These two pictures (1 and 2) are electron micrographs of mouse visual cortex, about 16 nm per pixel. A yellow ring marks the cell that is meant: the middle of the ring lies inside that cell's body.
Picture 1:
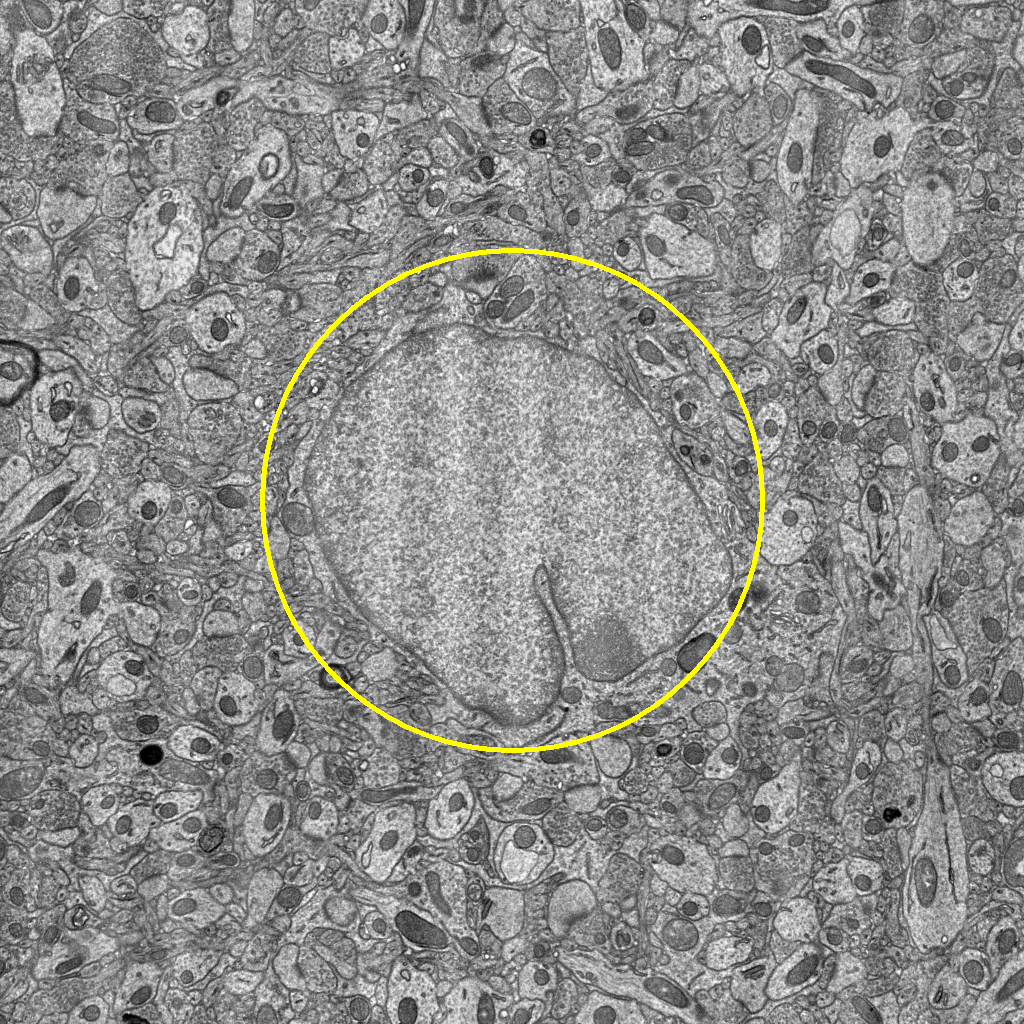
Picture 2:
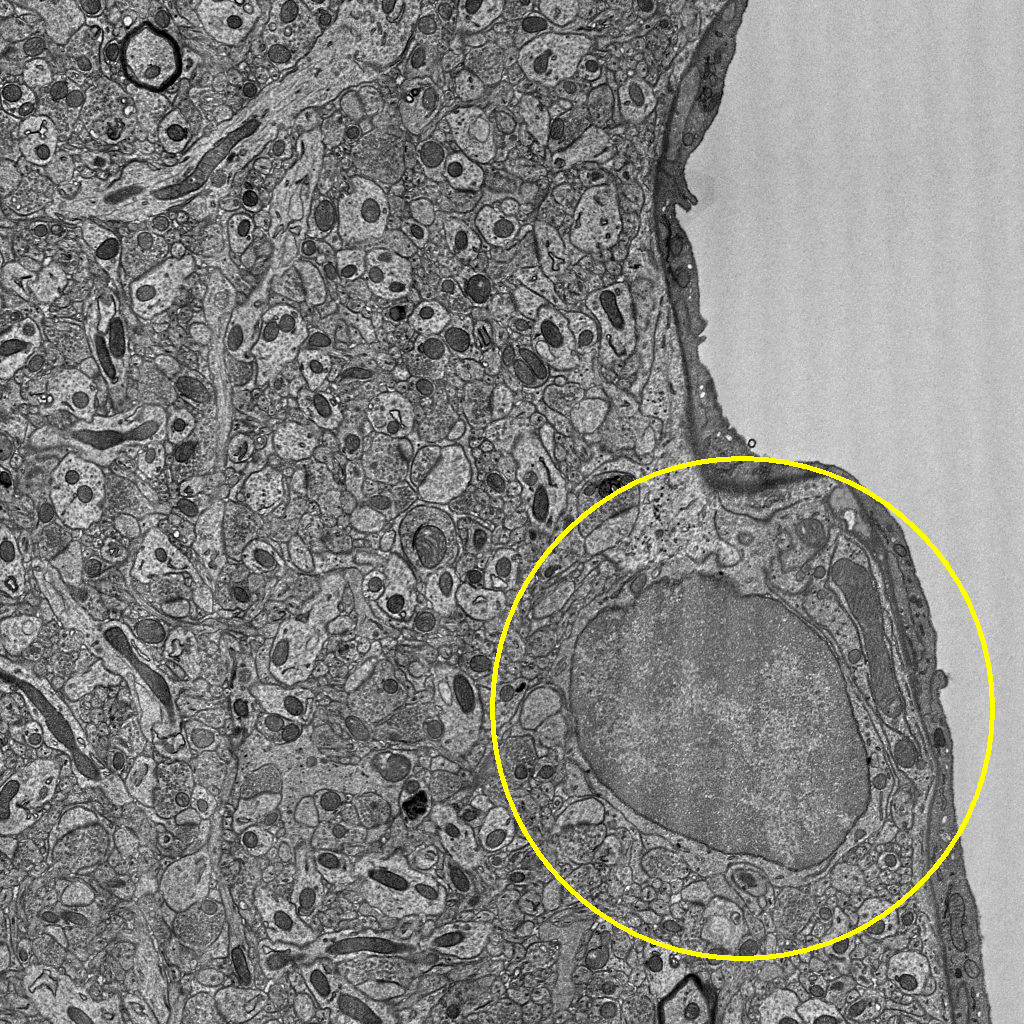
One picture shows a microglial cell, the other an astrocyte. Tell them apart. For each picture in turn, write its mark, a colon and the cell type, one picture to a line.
1: astrocyte
2: microglial cell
